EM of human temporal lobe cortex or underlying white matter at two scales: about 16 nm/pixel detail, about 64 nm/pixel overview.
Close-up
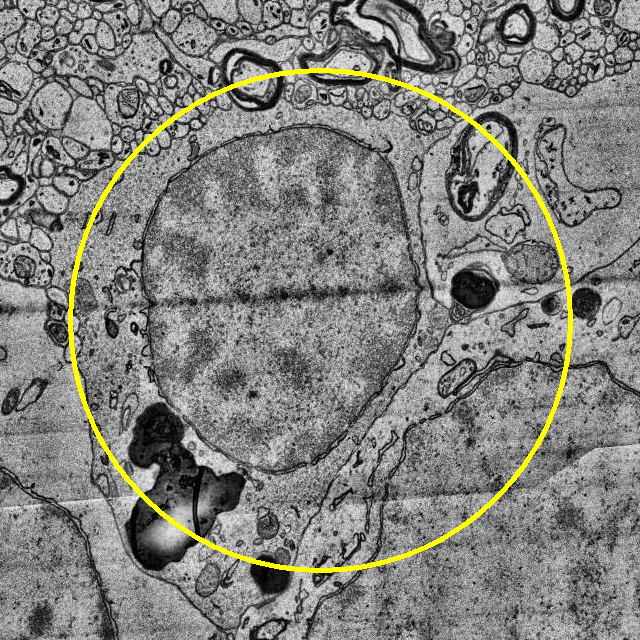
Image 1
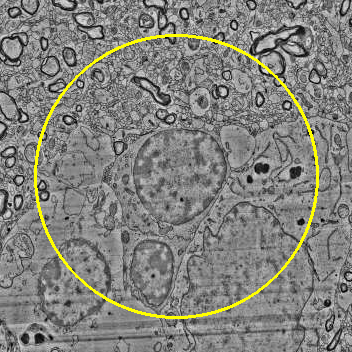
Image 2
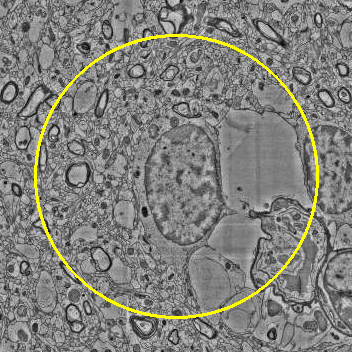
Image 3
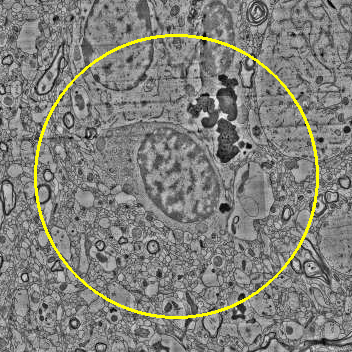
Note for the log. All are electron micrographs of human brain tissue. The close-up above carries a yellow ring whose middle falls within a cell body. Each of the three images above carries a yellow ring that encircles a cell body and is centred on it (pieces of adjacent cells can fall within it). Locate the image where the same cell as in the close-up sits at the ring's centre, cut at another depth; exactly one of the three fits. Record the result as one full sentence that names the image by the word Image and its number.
The cell visible in the close-up is the one ringed in Image 1.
